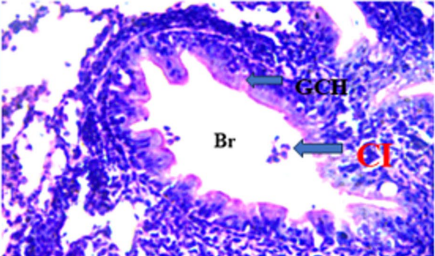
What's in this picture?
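A bronchiole with a folded, irregular lumen is lined by a tall pink epithelium, and around it the tissue is packed with countless small cells whose dark purple nuclei form thick sheets. The alveolar spaces normally seen around an airway are largely obscured by this dense crowding of cells. A few loose cells lie free within the airway lumen. This is a heavy peribronchial accumulation of inflammatory cells, with thickened, hyperplastic airway epithelium.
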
